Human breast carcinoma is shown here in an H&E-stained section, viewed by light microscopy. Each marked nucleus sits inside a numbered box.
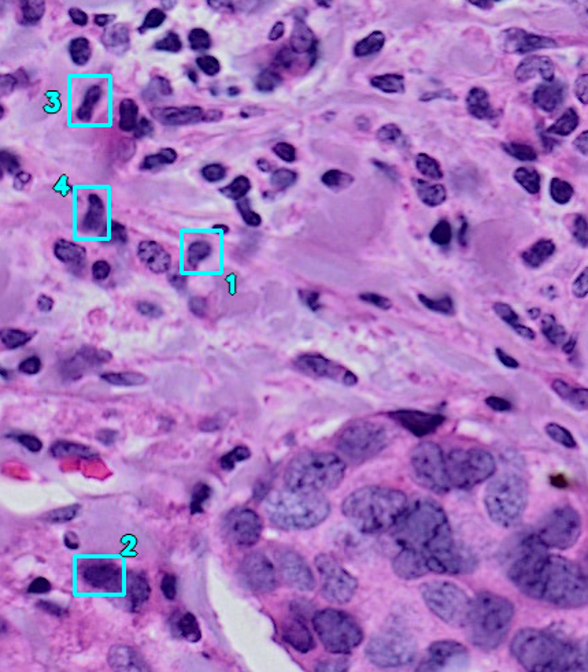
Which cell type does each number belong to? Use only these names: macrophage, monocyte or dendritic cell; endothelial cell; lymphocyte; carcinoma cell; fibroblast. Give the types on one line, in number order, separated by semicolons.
lymphocyte; carcinoma cell; lymphocyte; lymphocyte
